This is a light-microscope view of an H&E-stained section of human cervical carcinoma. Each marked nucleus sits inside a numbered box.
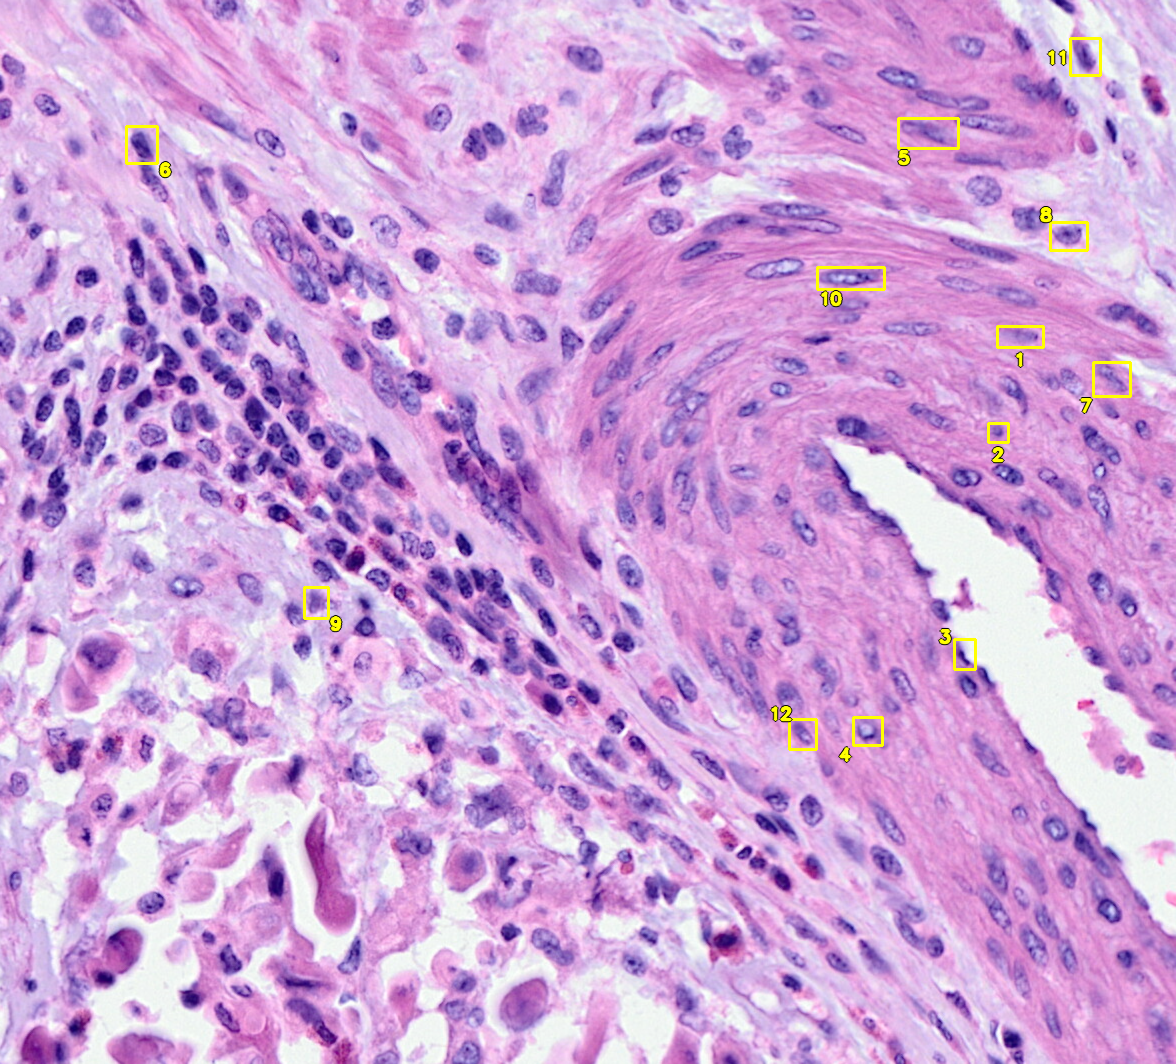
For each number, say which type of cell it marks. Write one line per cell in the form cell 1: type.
cell 1: smooth muscle cell
cell 2: smooth muscle cell
cell 3: endothelial cell
cell 4: smooth muscle cell
cell 5: smooth muscle cell
cell 6: lymphocyte
cell 7: smooth muscle cell
cell 8: macrophage or monocyte
cell 9: macrophage or monocyte
cell 10: smooth muscle cell
cell 11: macrophage or monocyte
cell 12: smooth muscle cell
